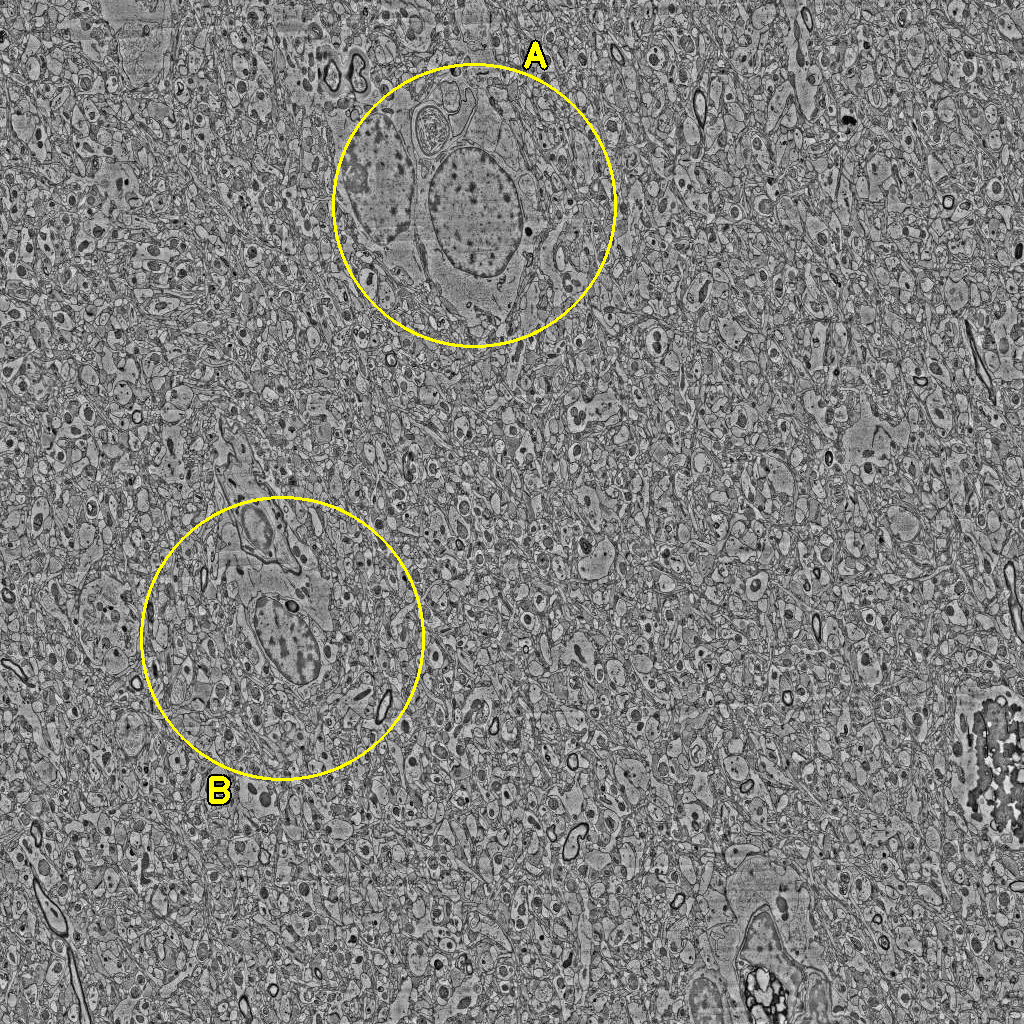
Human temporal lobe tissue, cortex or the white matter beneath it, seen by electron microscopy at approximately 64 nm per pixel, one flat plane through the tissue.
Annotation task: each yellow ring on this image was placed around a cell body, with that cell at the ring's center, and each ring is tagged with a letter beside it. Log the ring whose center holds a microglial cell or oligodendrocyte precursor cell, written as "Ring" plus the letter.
Ring B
